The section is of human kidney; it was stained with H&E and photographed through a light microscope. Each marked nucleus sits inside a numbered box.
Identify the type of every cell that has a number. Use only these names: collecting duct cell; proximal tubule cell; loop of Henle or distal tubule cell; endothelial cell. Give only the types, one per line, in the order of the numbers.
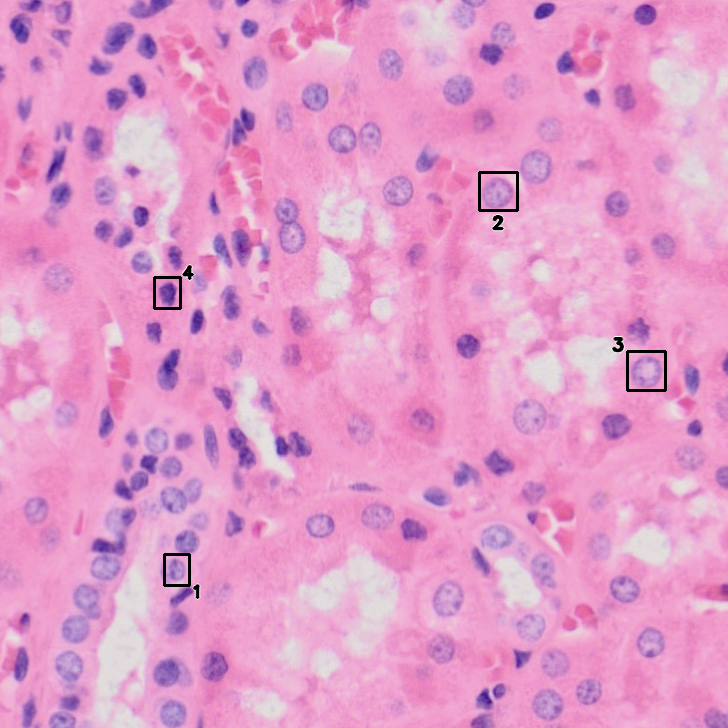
collecting duct cell
proximal tubule cell
proximal tubule cell
loop of Henle or distal tubule cell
